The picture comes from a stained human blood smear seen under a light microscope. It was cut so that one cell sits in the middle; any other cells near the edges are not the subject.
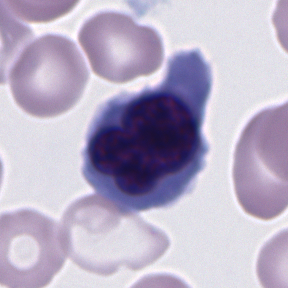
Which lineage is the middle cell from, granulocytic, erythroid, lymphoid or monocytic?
erythroid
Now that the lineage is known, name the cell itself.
normoblast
